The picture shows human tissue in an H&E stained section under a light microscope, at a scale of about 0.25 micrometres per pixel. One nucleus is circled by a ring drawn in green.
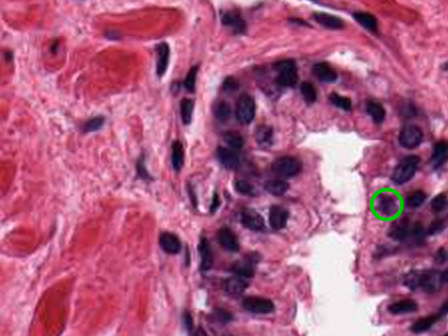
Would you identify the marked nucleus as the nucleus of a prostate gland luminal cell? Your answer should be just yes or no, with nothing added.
yes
